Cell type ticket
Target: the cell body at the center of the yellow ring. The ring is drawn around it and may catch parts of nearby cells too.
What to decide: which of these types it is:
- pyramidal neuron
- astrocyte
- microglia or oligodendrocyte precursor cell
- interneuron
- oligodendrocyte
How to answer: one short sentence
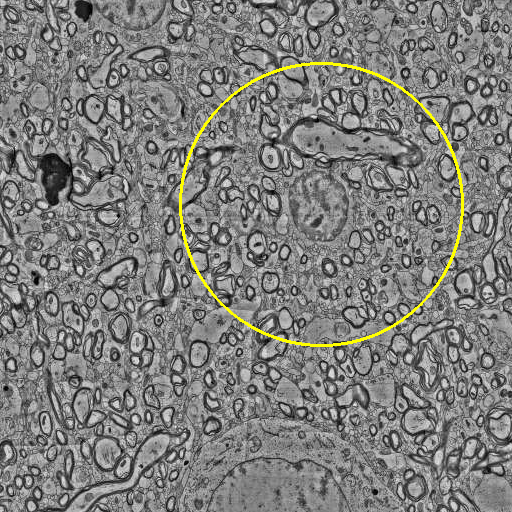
The cell at the center of the ring is an oligodendrocyte.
